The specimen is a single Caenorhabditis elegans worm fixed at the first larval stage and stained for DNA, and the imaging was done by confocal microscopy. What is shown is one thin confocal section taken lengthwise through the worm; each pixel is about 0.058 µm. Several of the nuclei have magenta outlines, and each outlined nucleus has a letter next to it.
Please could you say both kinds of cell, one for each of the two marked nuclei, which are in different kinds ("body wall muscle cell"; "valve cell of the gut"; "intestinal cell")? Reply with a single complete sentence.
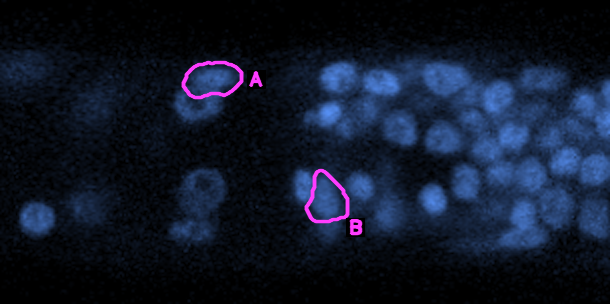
A is in a body wall muscle cell and B is in a valve cell of the gut.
